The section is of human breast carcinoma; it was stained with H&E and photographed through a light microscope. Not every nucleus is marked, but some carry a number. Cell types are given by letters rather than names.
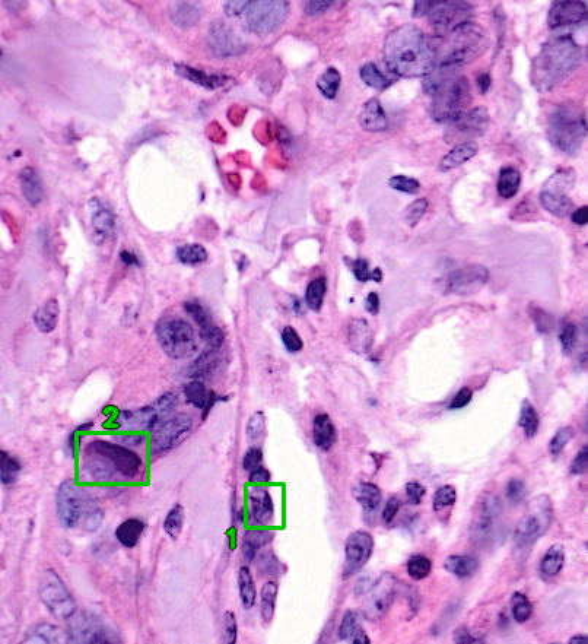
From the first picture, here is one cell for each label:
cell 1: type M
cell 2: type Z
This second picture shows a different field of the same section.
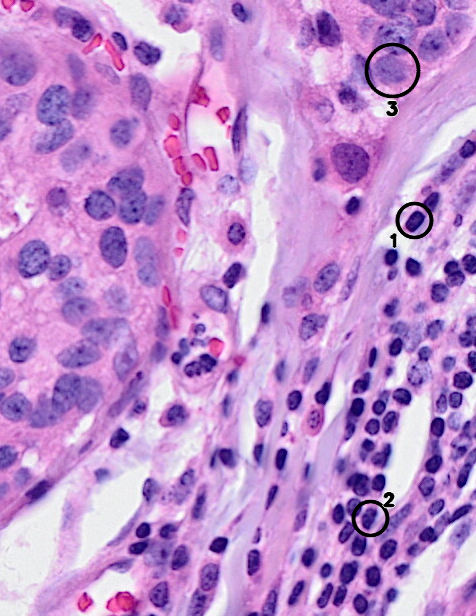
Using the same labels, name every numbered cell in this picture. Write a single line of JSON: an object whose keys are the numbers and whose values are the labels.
{"1": "type M", "2": "type M", "3": "type Z"}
